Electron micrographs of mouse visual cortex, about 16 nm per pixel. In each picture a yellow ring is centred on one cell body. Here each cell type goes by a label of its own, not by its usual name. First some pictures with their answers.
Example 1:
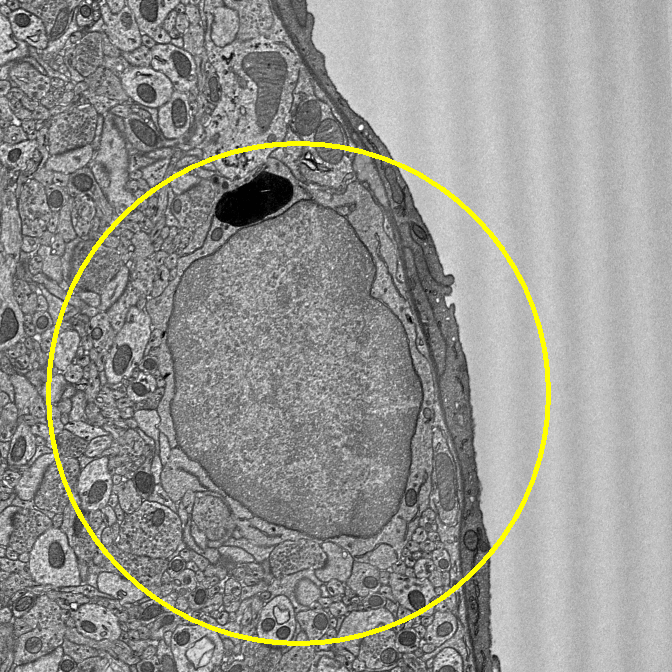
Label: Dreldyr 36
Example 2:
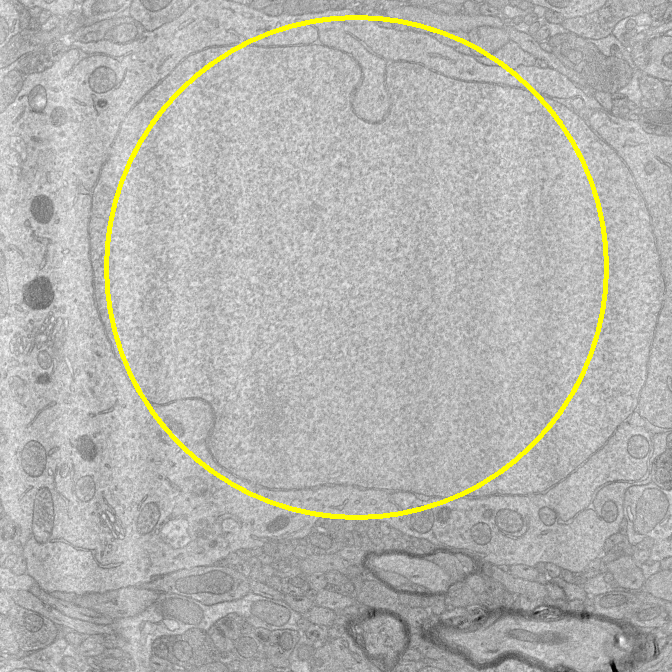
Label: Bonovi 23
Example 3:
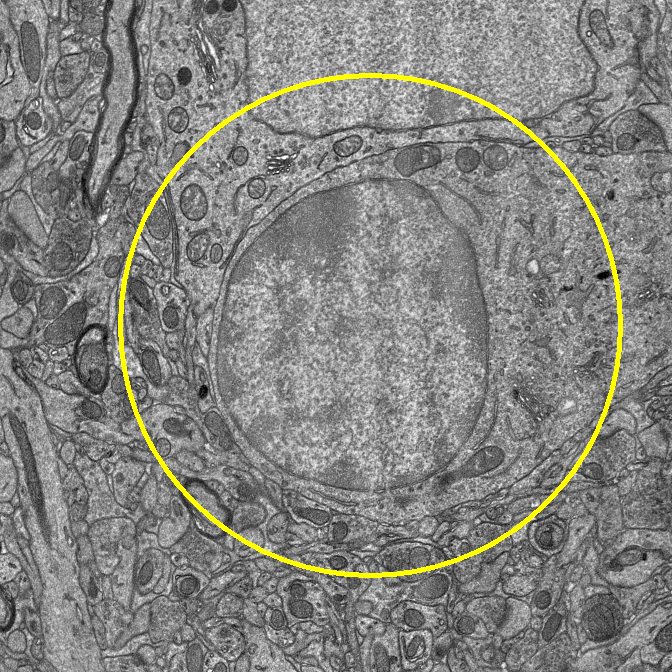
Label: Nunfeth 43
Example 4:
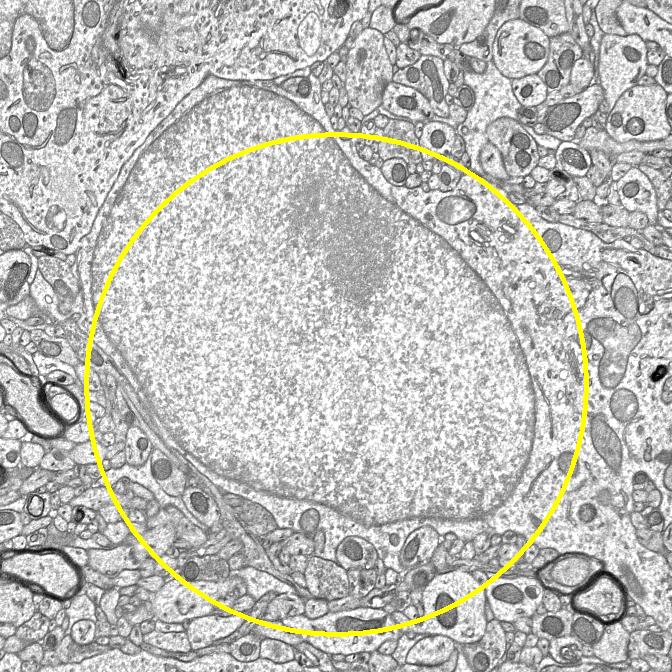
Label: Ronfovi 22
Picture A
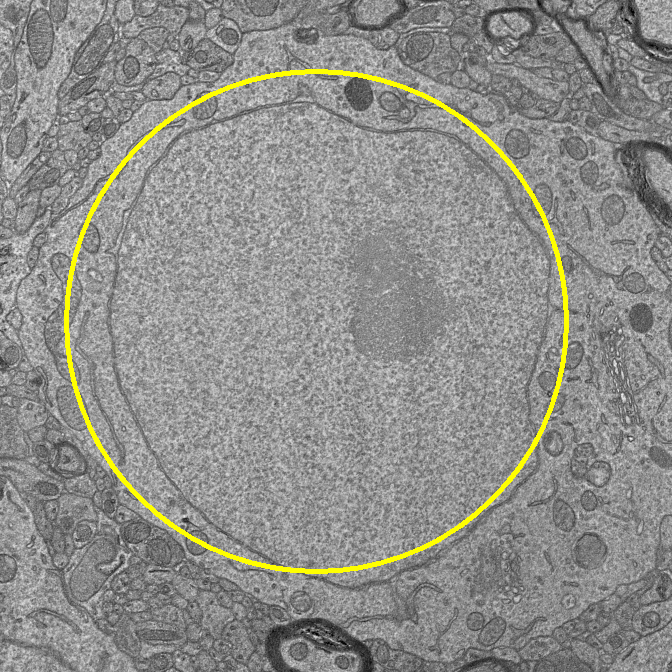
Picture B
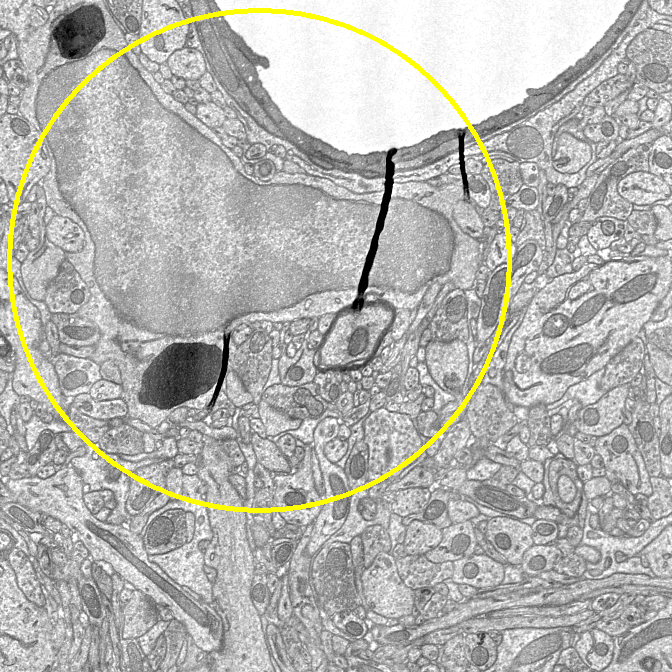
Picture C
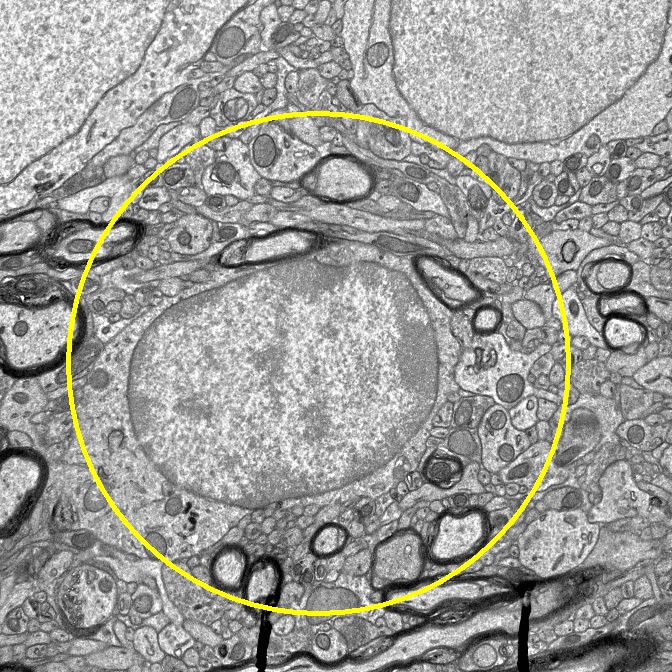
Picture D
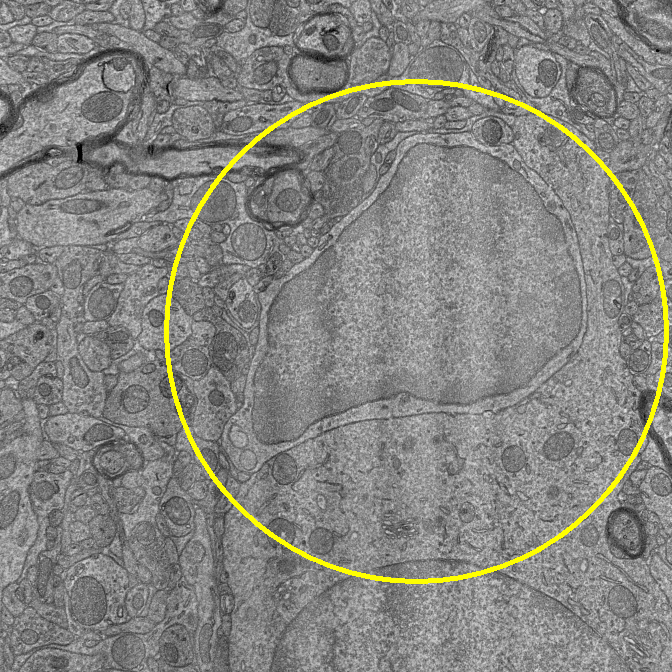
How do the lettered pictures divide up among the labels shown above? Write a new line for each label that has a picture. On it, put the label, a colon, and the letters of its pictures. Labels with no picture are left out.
Dreldyr 36: B, D
Bonovi 23: A
Nunfeth 43: C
